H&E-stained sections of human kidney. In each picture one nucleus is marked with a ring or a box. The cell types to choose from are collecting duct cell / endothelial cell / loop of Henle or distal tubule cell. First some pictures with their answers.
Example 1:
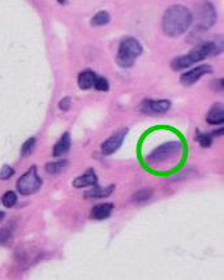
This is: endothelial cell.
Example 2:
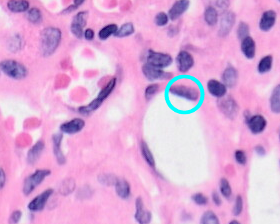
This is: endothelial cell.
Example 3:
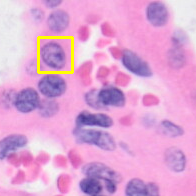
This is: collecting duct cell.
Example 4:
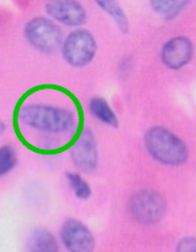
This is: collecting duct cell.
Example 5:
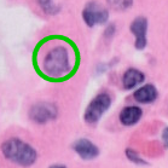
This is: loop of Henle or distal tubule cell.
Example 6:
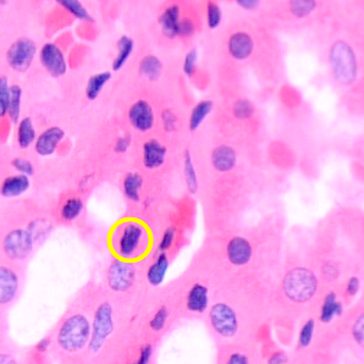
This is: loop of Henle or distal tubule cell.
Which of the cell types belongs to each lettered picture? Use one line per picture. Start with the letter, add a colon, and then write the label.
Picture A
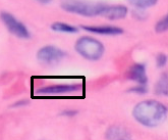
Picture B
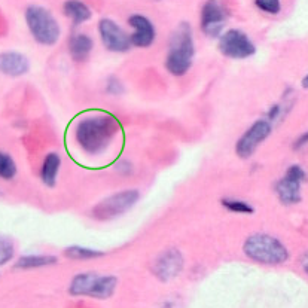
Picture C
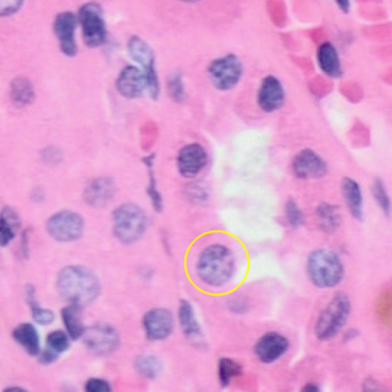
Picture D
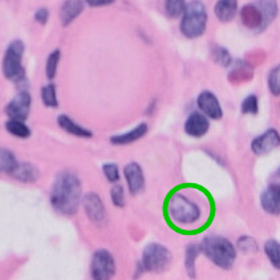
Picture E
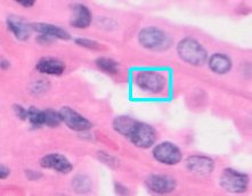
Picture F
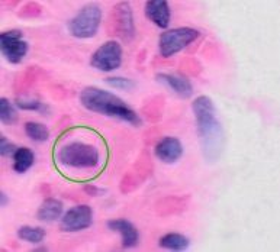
A: endothelial cell.
B: endothelial cell.
C: loop of Henle or distal tubule cell.
D: collecting duct cell.
E: loop of Henle or distal tubule cell.
F: endothelial cell.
